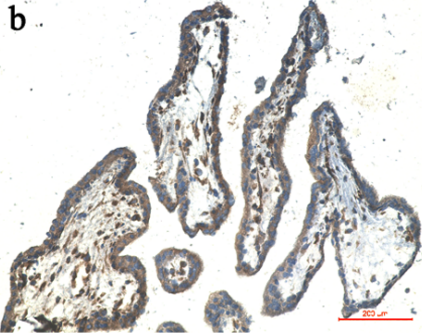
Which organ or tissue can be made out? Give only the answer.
Placental villa.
